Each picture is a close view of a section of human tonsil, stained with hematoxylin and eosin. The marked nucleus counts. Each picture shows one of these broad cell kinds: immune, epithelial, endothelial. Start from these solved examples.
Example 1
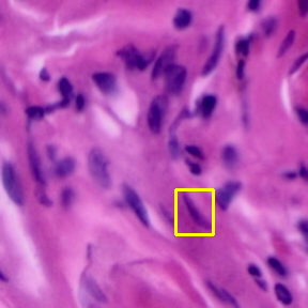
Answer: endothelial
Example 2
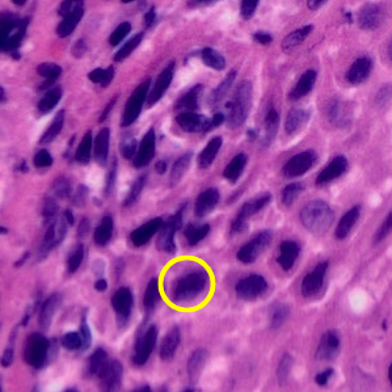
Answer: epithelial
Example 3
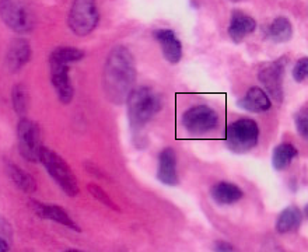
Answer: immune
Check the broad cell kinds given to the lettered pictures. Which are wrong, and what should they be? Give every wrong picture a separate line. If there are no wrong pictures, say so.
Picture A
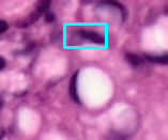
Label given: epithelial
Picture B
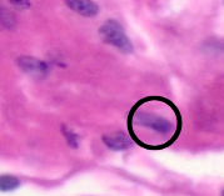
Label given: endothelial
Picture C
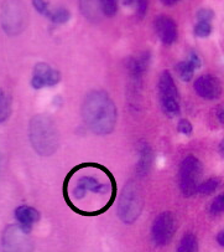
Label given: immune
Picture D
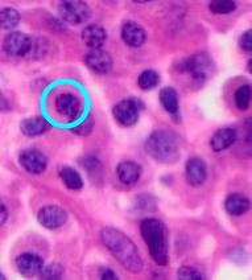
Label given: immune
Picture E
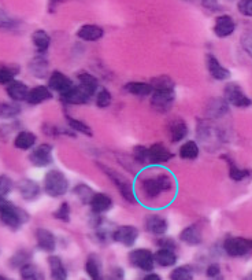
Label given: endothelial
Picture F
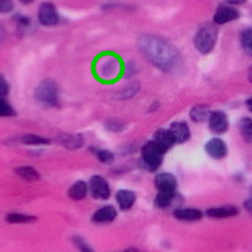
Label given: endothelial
Wrong: C (immune); correct: epithelial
